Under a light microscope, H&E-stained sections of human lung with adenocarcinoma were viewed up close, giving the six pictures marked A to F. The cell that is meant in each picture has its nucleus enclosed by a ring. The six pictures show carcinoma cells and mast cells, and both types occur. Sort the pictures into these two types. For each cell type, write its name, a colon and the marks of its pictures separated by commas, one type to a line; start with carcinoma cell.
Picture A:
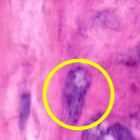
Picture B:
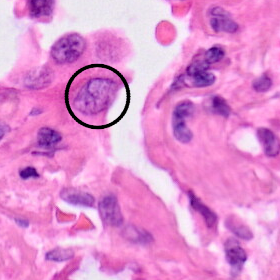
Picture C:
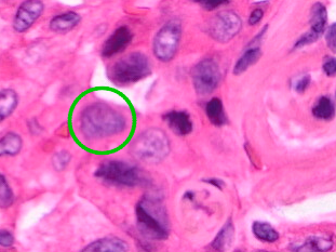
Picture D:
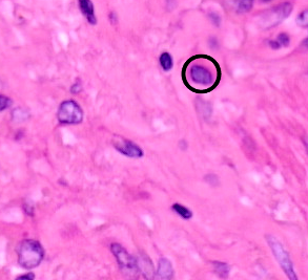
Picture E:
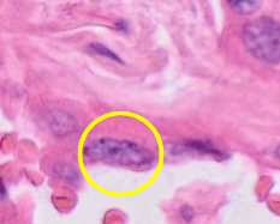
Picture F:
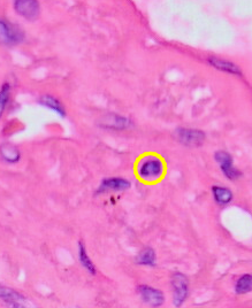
carcinoma cell: A, B, C, E
mast cell: D, F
